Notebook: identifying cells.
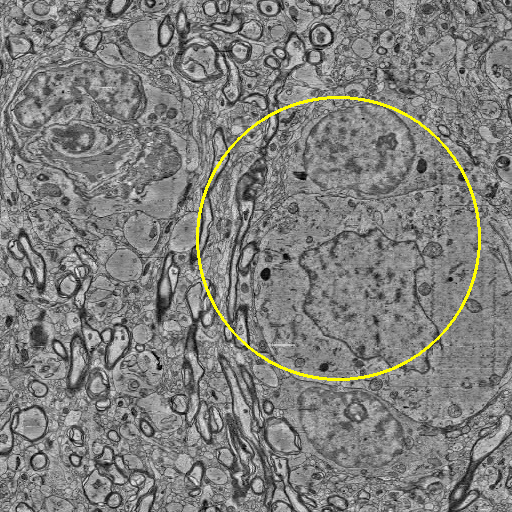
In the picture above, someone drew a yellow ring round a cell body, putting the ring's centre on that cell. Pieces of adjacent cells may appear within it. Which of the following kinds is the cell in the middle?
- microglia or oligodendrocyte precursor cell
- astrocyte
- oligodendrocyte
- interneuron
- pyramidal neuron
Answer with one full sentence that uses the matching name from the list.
In this picture, the yellow ring is centred on the body of a pyramidal neuron.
